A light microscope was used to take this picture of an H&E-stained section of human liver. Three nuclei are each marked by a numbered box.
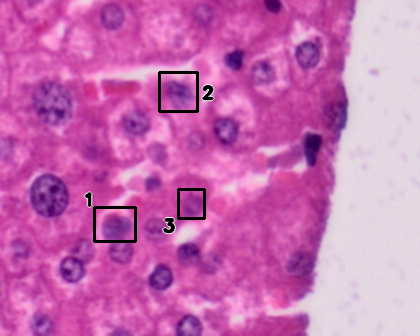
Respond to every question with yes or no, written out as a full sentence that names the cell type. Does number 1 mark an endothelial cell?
Yes, the cell numbered 1 in this tissue is an endothelial cell.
